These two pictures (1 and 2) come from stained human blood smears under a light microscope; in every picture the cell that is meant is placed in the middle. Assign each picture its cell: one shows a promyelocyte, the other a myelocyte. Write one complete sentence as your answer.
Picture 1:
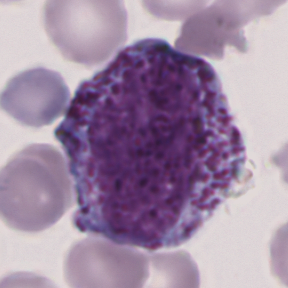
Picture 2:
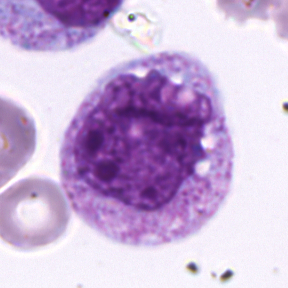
Picture 2 shows a myelocyte, while picture 1 shows a promyelocyte.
